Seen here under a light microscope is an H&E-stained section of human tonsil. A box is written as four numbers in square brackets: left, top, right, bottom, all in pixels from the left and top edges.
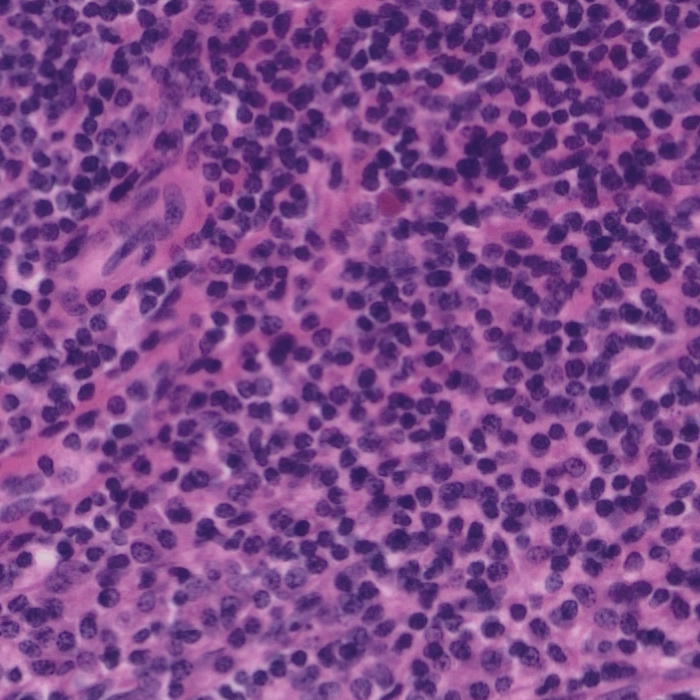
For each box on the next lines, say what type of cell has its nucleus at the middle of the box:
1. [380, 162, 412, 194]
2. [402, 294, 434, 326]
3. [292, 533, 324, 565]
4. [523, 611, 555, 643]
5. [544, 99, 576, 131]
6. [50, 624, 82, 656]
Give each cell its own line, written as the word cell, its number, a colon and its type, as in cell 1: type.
cell 1: small lymphocyte
cell 2: small lymphocyte
cell 3: small lymphocyte
cell 4: plasma cell
cell 5: small lymphocyte
cell 6: plasma cell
